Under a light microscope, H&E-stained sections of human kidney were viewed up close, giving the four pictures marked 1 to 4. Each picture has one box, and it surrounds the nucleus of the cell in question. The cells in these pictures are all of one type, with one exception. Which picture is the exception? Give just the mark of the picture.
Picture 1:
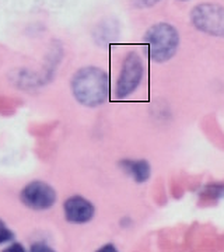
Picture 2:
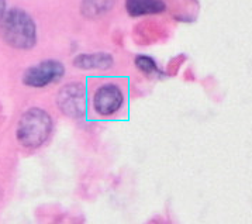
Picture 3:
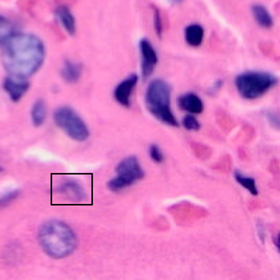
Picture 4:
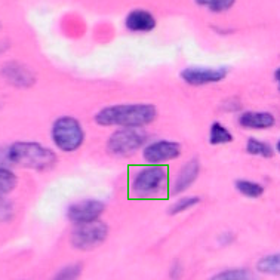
2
